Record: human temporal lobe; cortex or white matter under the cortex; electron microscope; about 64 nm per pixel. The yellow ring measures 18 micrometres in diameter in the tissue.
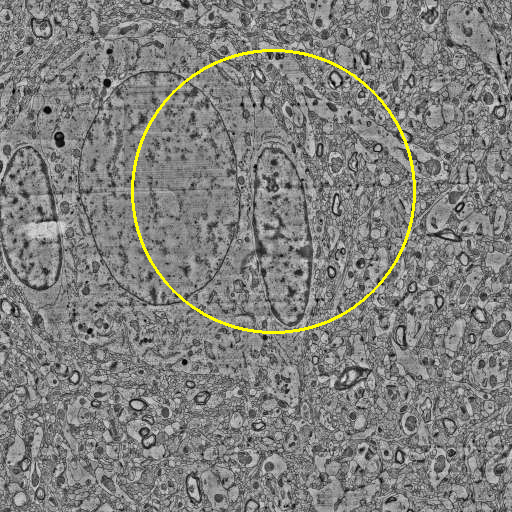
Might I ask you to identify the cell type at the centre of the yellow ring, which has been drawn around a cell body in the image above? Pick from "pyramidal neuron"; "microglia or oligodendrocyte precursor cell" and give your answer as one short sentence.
The centre of the ring falls on a microglial cell or oligodendrocyte precursor cell.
